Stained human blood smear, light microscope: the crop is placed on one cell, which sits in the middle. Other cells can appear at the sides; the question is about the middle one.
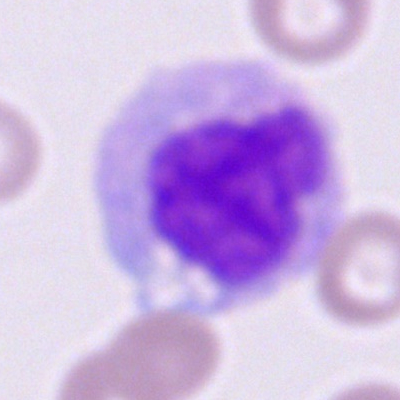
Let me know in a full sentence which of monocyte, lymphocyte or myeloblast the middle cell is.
Looking at the middle of the crop, the cell there is a monocyte.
